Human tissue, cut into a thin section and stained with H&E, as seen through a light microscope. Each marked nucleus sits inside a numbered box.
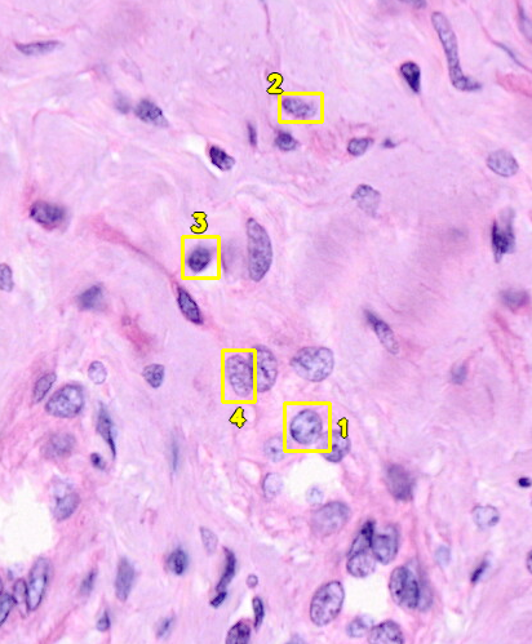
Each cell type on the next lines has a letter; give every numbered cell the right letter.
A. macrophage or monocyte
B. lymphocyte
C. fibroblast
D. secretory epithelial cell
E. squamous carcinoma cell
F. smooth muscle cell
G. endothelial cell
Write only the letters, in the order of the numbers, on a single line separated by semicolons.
G; F; B; G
